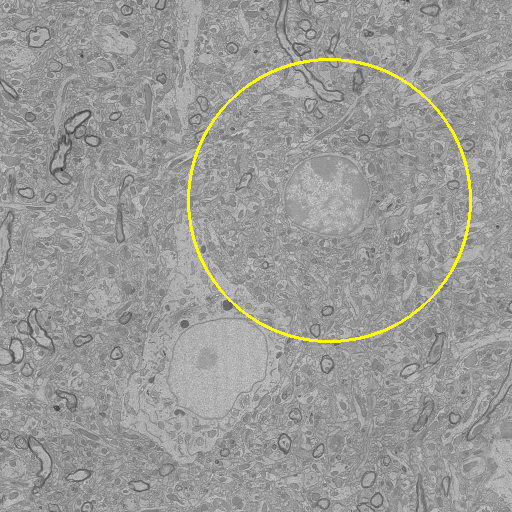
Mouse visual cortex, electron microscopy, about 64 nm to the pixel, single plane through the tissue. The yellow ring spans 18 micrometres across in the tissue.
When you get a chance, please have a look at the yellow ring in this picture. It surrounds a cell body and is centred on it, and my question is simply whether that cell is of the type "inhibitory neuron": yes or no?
No, the cell is of another type.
